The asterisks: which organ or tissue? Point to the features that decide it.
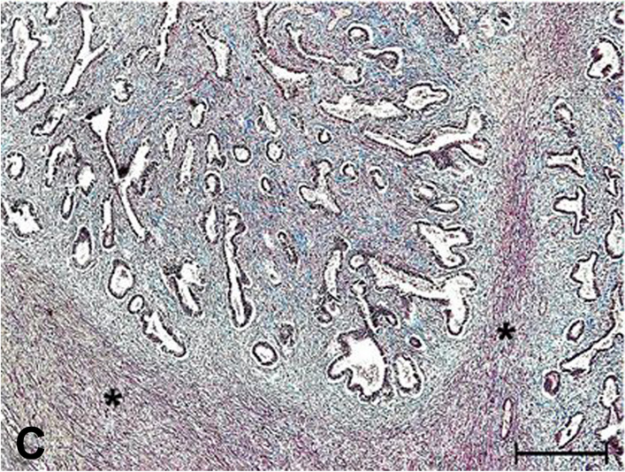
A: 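The asterisks lie on bands of densely packed, parallel, elongated fibres. These bands stain more reddish than the surrounding looser stroma.
Hence: Fibers of smooth muscle.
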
